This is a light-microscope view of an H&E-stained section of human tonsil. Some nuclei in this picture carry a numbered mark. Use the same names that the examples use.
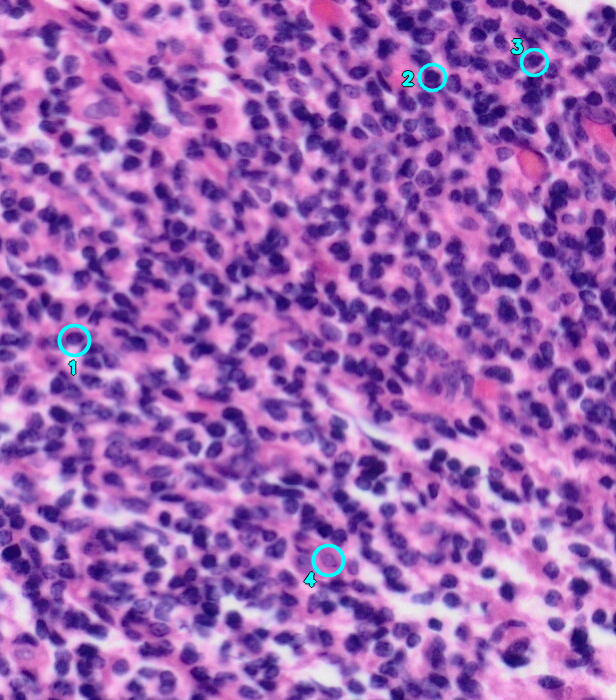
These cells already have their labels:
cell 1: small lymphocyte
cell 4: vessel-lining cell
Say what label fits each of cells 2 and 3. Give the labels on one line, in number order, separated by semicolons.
small lymphocyte; small lymphocyte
